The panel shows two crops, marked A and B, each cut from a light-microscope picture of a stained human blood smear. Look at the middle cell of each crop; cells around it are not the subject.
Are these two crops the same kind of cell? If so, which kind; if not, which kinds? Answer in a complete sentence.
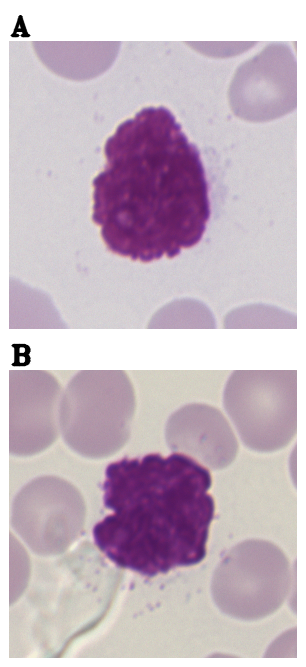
Yes, what both crops show at their centres are smudge cells.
